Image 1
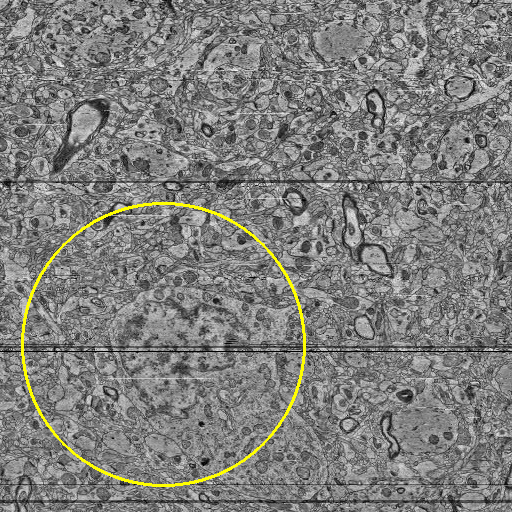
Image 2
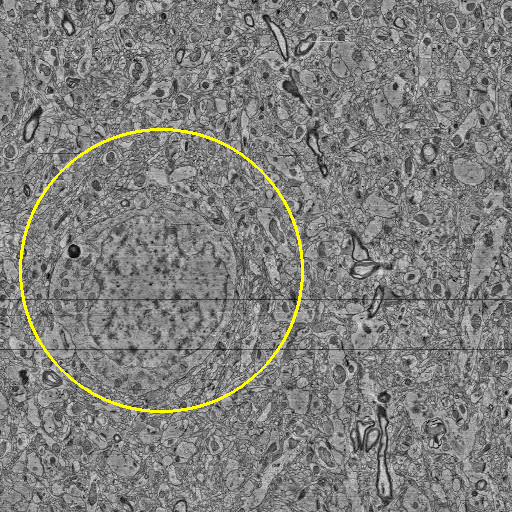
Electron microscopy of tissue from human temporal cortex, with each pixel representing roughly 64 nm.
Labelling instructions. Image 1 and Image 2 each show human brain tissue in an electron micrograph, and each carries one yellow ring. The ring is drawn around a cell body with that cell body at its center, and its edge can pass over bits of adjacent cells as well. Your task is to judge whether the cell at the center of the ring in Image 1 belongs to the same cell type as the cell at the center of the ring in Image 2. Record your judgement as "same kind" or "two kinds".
same kind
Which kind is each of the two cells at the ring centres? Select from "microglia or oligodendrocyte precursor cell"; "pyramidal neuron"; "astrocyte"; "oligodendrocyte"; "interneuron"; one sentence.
Each of the two rings is centred on an interneuron.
